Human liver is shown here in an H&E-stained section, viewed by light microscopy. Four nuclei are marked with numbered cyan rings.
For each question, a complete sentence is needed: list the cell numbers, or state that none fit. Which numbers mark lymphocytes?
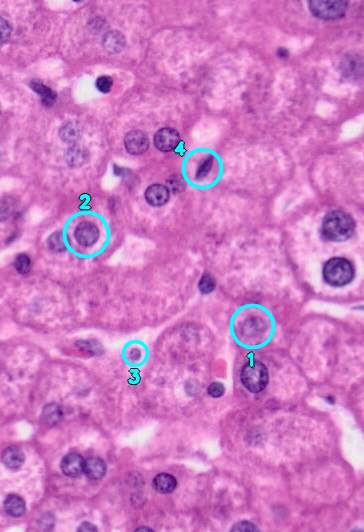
Exactly one of the numbered cells is a lymphocyte, namely cell 3.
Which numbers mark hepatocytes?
The cells whose numbers are 1 and 2 are hepatocytes.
